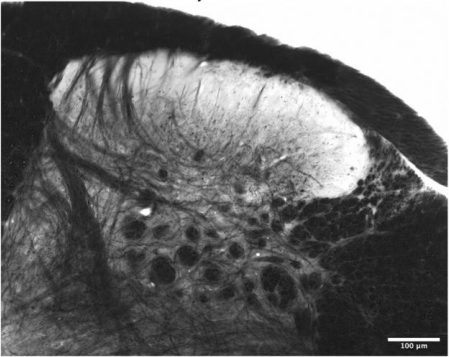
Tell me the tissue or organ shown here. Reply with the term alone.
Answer: Dorsal horn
